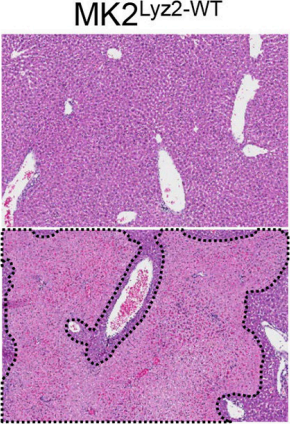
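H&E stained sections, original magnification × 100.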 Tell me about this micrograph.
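These are sections of liver parenchyma stained pink and purple, with cords of hepatocytes running between vessels and scattered blue nuclei throughout. In the upper sections the tissue looks uniform, with open round and elongated vessel lumens and evenly spaced nuclei. In the lower sections, dotted lines enclose zones of necrosis. One such zone is large and covers most of its field; it is paler and more eosin-pink, with fewer clearly outlined nuclei, and its cells are arranged less orderly.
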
